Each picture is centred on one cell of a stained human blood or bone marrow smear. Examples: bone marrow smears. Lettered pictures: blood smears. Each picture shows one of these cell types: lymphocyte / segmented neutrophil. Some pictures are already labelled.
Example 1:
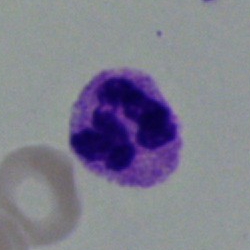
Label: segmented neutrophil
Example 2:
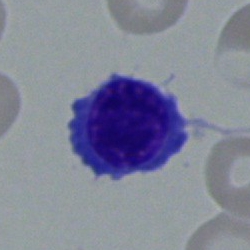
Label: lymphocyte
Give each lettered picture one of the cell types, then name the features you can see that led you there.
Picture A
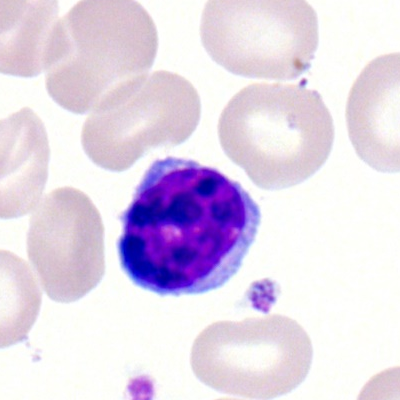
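lymphocyte: The cytoplasm forms only a thin rim around the nucleus.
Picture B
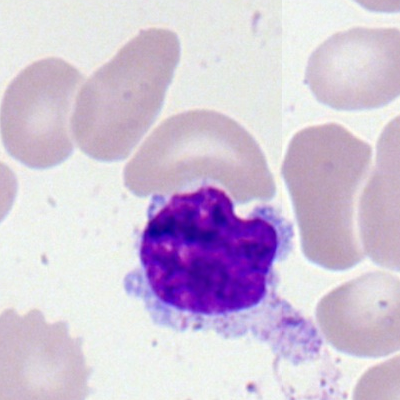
lymphocyte: The nucleus fills most of the cell.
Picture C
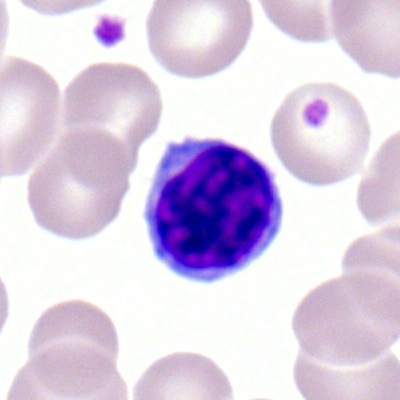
lymphocyte: The cytoplasm forms only a thin rim around the nucleus.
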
